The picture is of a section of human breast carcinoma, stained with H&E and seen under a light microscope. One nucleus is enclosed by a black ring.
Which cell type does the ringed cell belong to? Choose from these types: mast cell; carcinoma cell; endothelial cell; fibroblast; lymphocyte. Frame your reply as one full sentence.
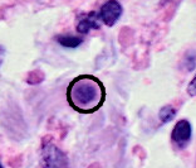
At the level of cell identity, the ringed cell is a mast cell.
